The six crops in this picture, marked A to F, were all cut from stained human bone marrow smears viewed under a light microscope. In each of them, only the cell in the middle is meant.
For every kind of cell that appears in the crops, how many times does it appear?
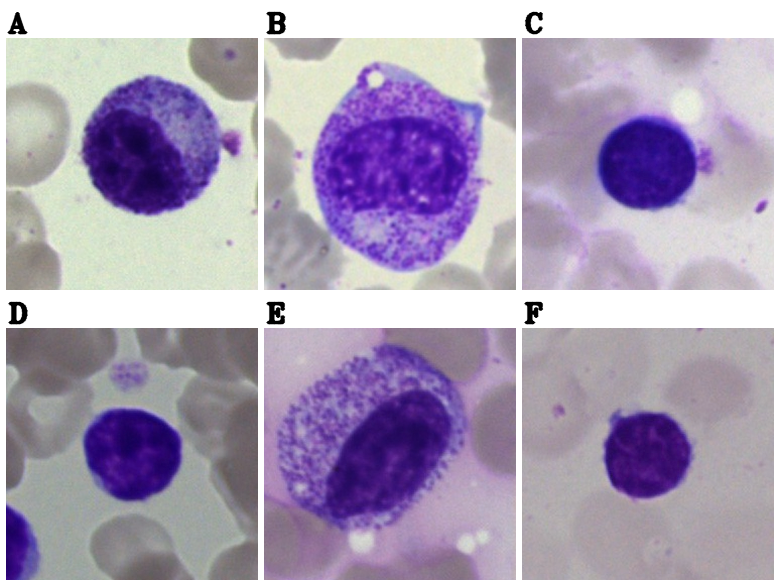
myelocyte: 3
lymphocyte: 3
